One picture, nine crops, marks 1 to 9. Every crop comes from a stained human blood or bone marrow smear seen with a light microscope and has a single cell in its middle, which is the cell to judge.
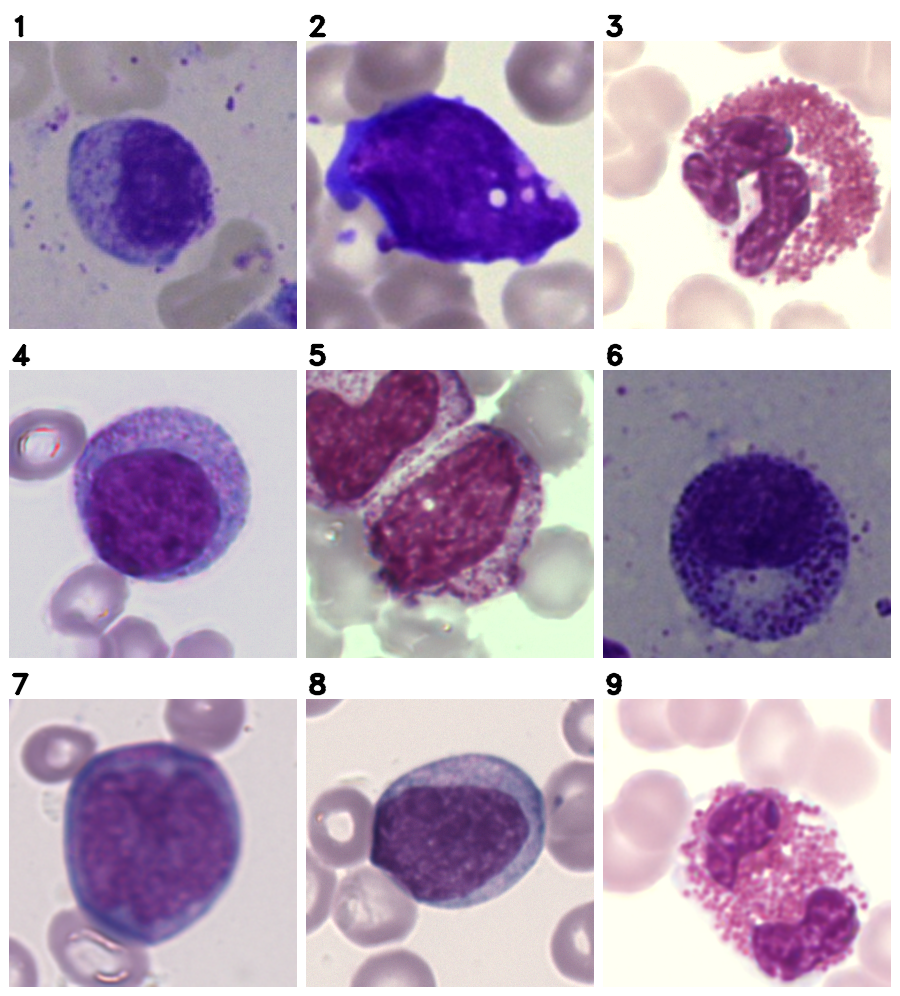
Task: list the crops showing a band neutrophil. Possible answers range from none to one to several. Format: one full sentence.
No crop shows a band neutrophil as its central cell.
